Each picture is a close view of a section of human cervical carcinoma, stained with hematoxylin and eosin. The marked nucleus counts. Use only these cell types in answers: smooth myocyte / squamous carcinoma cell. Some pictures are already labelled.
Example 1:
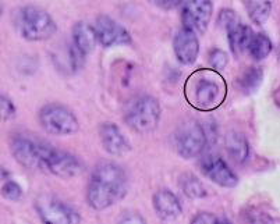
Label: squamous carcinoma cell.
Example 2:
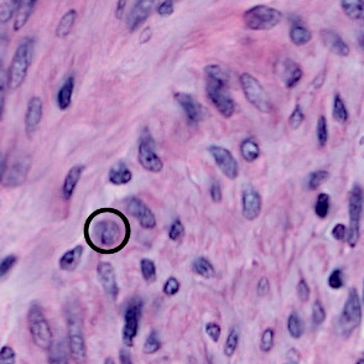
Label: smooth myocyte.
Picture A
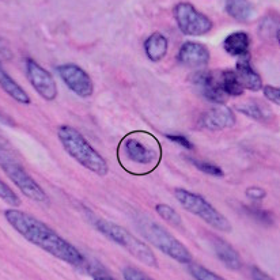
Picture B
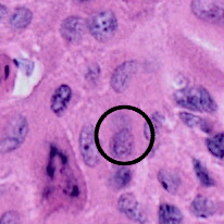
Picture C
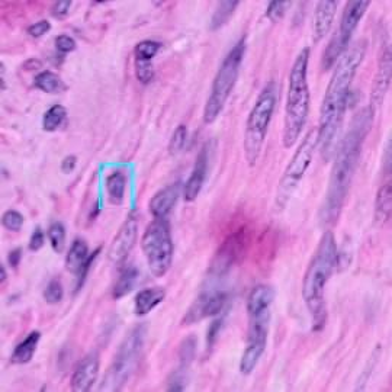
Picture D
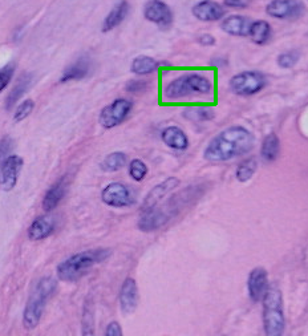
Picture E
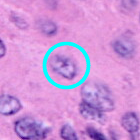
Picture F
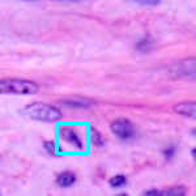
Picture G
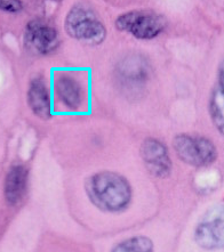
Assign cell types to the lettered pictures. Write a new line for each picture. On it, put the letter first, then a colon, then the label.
A: smooth myocyte.
B: squamous carcinoma cell.
C: smooth myocyte.
D: smooth myocyte.
E: squamous carcinoma cell.
F: smooth myocyte.
G: squamous carcinoma cell.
